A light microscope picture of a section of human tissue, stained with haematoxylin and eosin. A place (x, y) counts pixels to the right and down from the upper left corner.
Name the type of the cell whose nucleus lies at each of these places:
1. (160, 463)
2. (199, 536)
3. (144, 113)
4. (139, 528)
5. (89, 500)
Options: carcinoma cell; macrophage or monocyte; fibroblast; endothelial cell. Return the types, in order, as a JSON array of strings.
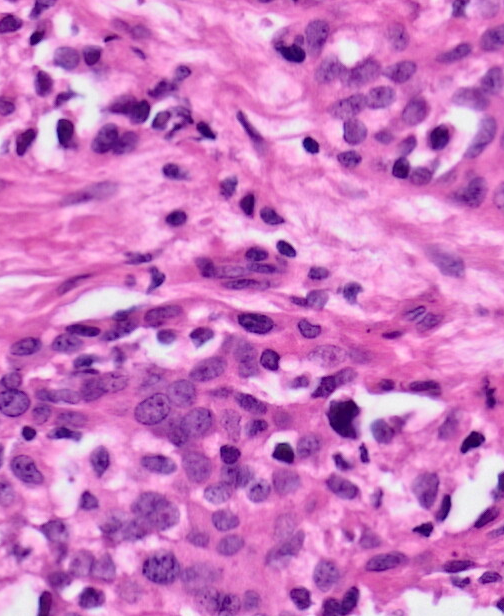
["macrophage or monocyte", "carcinoma cell", "carcinoma cell", "carcinoma cell", "macrophage or monocyte"]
